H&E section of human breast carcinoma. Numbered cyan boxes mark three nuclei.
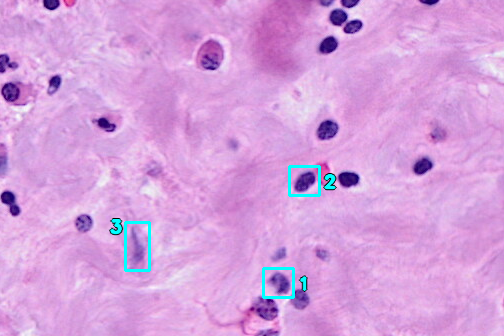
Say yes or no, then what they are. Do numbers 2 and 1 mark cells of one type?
Yes, the cell marked 2 and the cell marked 1 are both lymphocytes.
